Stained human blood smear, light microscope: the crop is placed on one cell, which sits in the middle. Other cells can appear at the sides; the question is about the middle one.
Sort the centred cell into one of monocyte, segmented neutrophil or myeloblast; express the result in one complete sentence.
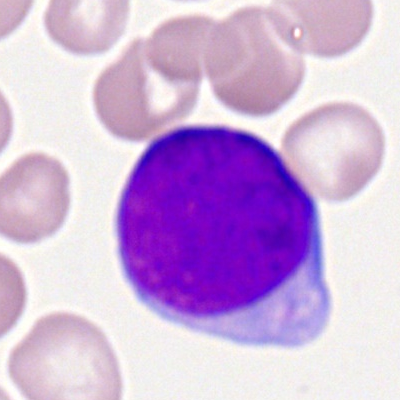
For this crop, the central cell is a myeloblast.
